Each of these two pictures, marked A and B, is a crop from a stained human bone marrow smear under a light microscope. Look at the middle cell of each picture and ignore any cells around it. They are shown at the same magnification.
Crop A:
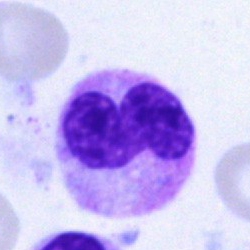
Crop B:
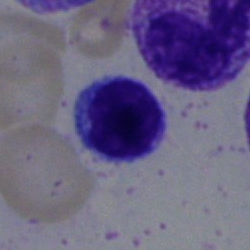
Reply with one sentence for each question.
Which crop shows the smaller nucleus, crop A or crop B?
It is the nucleus in crop B; the one in crop A has about 2 times its area.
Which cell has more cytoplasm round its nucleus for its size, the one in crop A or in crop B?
In crop A the nucleus takes up the smaller part of its cell.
